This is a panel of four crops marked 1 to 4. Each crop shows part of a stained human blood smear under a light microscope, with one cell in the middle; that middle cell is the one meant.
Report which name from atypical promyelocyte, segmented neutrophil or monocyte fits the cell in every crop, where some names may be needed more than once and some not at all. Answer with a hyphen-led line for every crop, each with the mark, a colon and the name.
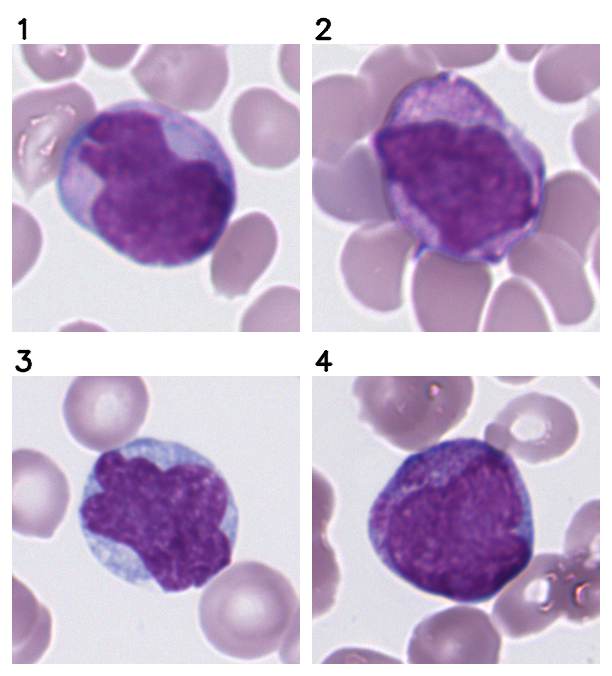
- 1: atypical promyelocyte
- 2: atypical promyelocyte
- 3: monocyte
- 4: atypical promyelocyte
